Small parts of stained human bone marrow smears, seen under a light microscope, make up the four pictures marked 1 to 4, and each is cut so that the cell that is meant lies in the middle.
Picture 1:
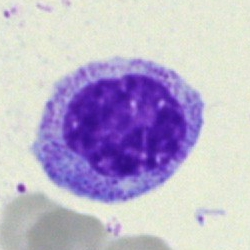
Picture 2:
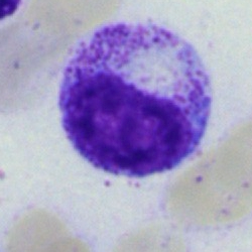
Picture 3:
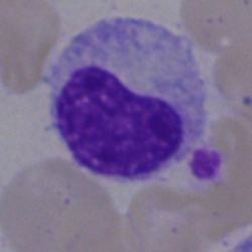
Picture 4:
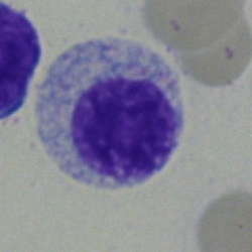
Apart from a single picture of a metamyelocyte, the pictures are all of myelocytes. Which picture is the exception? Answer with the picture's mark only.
3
